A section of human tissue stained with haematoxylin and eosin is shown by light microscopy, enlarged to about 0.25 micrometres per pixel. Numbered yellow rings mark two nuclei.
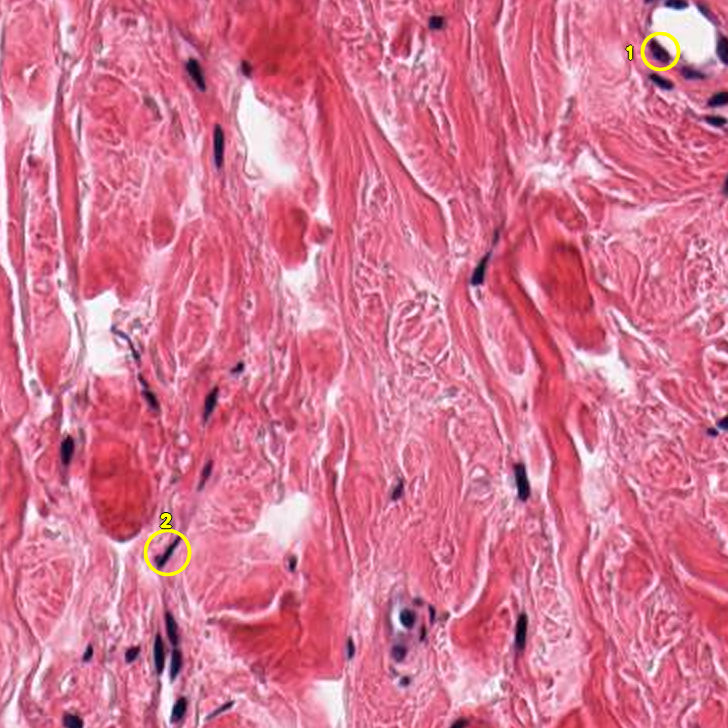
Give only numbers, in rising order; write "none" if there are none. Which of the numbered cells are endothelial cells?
1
